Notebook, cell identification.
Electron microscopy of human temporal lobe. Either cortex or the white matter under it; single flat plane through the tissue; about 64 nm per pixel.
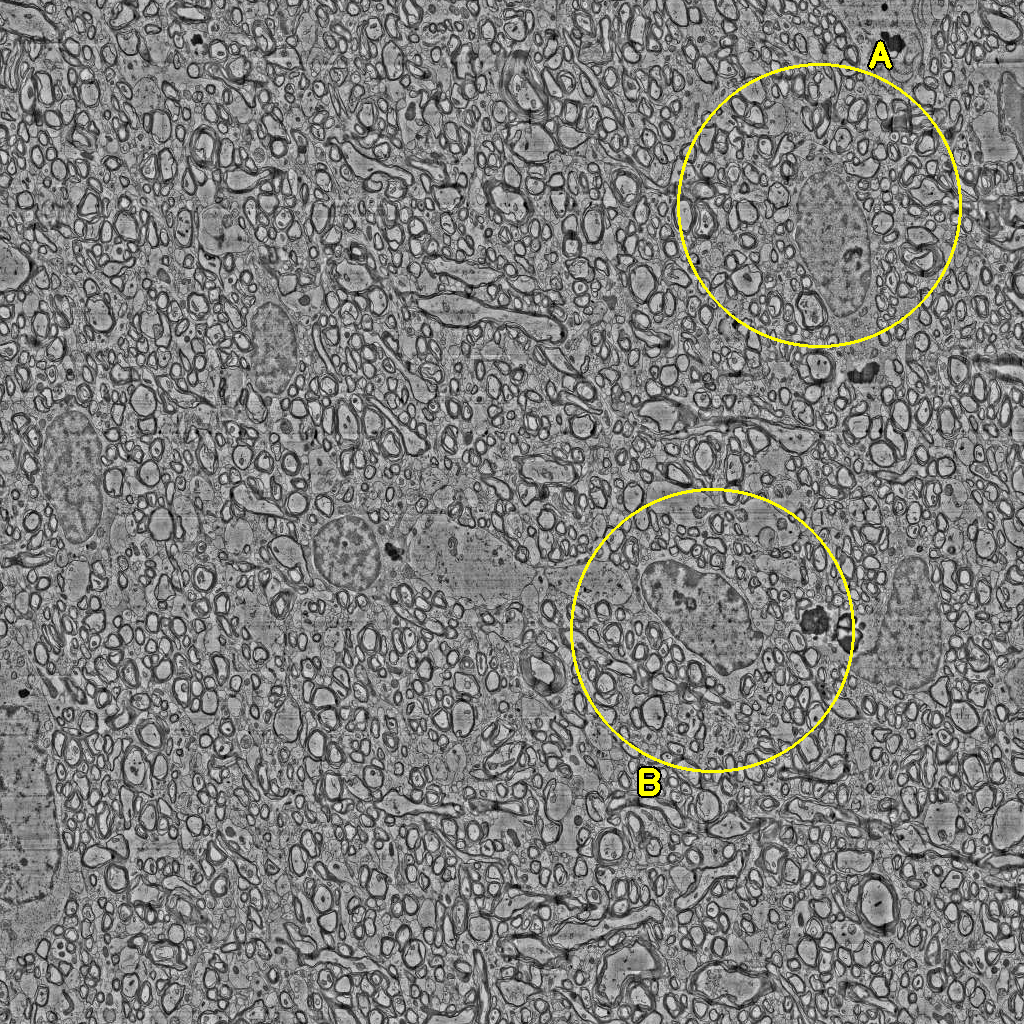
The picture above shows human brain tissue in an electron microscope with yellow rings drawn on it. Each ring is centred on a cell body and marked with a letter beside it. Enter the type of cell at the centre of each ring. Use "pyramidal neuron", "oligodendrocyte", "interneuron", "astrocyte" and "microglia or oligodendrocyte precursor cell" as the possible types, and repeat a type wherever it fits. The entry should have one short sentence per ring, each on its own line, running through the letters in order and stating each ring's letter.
The cell body in ring A belongs to an oligodendrocyte.
The cell body in ring B belongs to a microglial cell or oligodendrocyte precursor cell.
